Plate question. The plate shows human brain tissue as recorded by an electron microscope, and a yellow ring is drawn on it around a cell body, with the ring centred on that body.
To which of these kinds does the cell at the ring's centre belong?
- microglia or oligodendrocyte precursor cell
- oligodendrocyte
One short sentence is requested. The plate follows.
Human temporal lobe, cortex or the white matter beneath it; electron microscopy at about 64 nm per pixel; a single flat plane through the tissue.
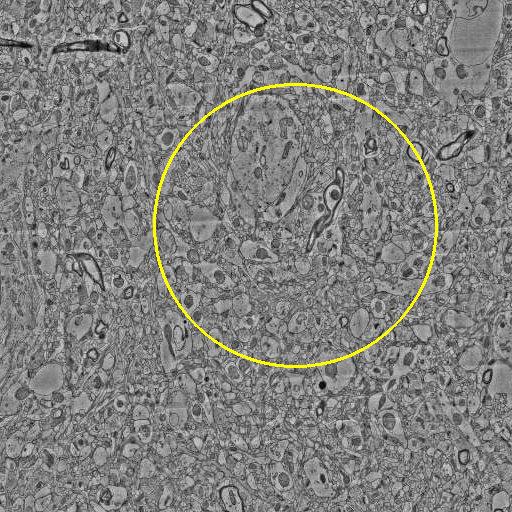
The cell at the ring's centre is an oligodendrocyte.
